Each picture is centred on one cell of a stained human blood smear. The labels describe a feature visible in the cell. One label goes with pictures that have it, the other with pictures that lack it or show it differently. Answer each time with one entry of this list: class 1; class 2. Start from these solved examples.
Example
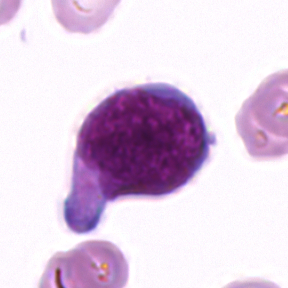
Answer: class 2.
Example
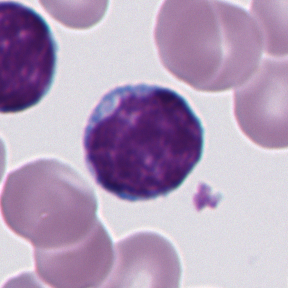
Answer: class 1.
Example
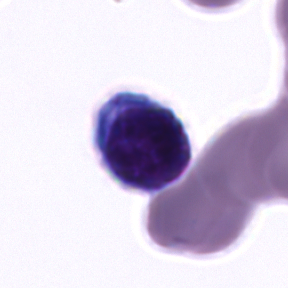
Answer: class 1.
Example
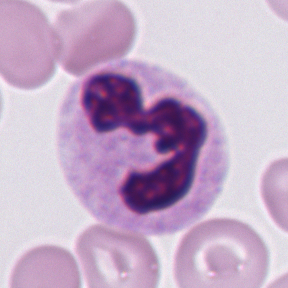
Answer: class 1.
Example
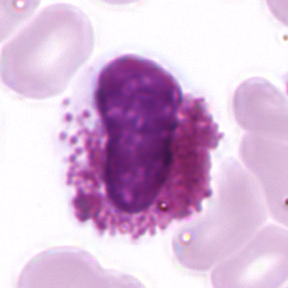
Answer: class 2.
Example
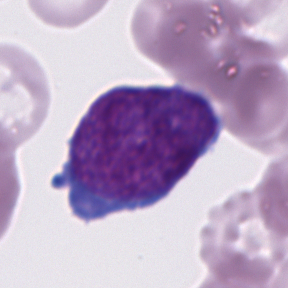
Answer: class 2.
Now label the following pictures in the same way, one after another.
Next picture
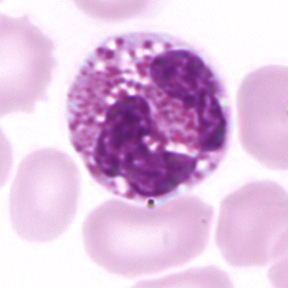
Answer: class 1.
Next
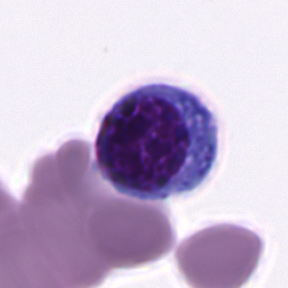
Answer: class 1.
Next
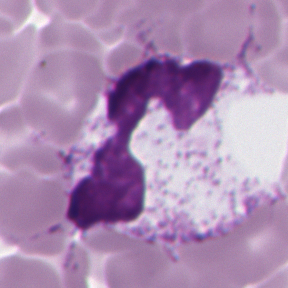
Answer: class 2.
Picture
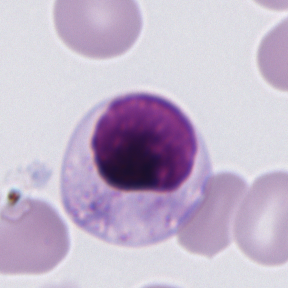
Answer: class 1.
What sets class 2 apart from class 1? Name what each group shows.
Seen in class 2: ragged outline or projections; seen in class 1: smooth outline.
